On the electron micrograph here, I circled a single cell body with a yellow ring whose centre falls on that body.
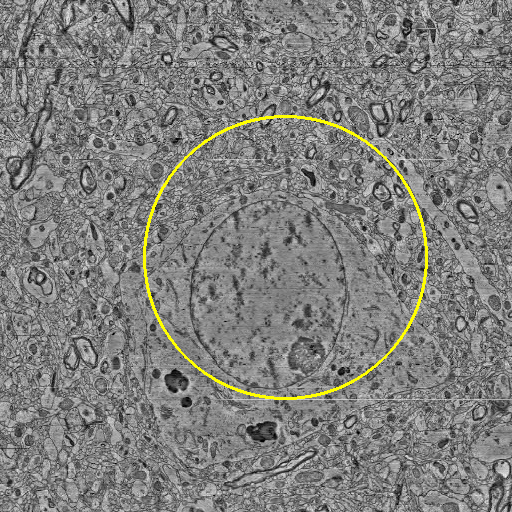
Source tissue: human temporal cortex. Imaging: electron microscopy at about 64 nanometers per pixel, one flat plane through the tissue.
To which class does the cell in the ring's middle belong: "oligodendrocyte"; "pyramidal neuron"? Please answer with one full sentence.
In this picture, the cell body circled at the ring's centre belongs to a pyramidal neuron.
